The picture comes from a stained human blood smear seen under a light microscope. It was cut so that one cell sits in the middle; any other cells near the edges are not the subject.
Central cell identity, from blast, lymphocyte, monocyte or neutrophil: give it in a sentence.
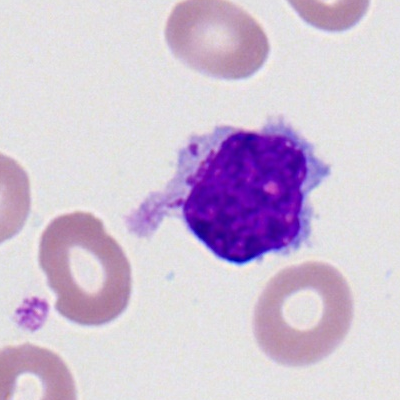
Whatever else lies nearby, the middle cell is a lymphocyte.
